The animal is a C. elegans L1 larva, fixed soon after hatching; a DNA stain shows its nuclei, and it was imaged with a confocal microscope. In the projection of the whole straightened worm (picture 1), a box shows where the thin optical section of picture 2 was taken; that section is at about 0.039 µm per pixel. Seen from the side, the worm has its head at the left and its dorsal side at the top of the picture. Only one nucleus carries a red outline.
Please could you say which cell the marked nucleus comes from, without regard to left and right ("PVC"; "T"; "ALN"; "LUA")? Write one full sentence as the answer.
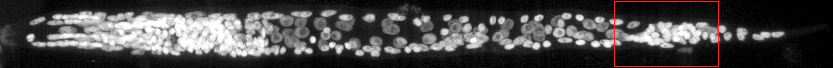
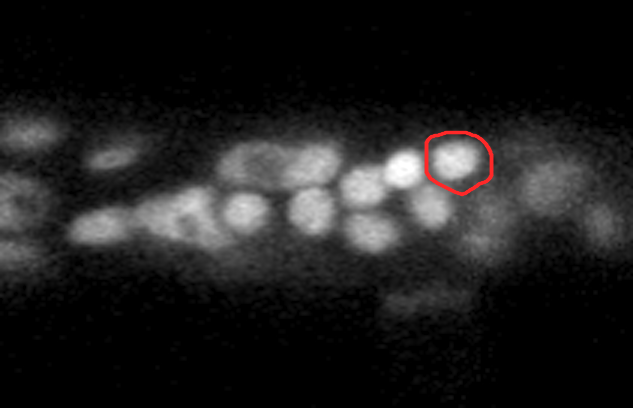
It belongs to ALN, a neuron.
